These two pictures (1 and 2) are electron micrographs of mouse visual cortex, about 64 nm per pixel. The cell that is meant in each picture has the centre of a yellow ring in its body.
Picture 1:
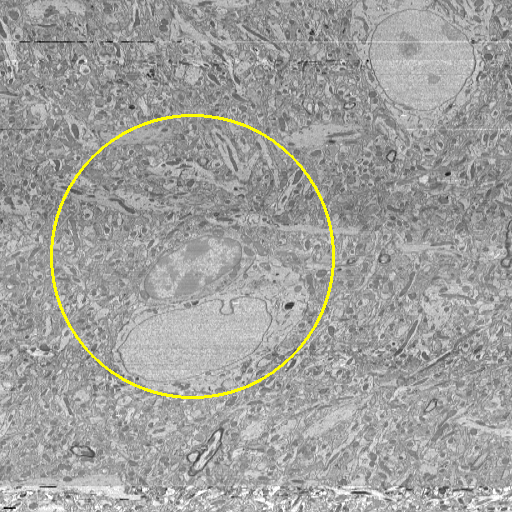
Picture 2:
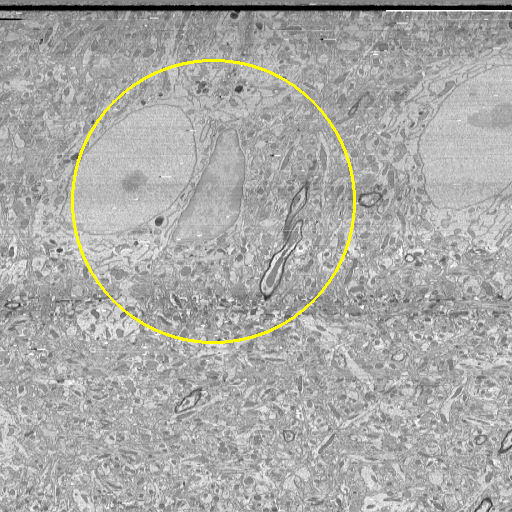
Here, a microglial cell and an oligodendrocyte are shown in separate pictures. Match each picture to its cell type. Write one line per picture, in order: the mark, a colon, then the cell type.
1: oligodendrocyte
2: microglial cell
